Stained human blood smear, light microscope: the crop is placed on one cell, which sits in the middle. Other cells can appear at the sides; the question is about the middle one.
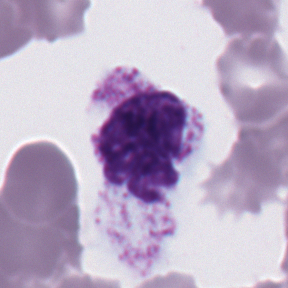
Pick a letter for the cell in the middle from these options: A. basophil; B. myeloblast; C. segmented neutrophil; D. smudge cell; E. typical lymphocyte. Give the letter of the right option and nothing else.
A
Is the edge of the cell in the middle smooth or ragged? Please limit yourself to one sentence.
The margin of this cell is irregular, showing raggedness or projections instead of smoothness.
